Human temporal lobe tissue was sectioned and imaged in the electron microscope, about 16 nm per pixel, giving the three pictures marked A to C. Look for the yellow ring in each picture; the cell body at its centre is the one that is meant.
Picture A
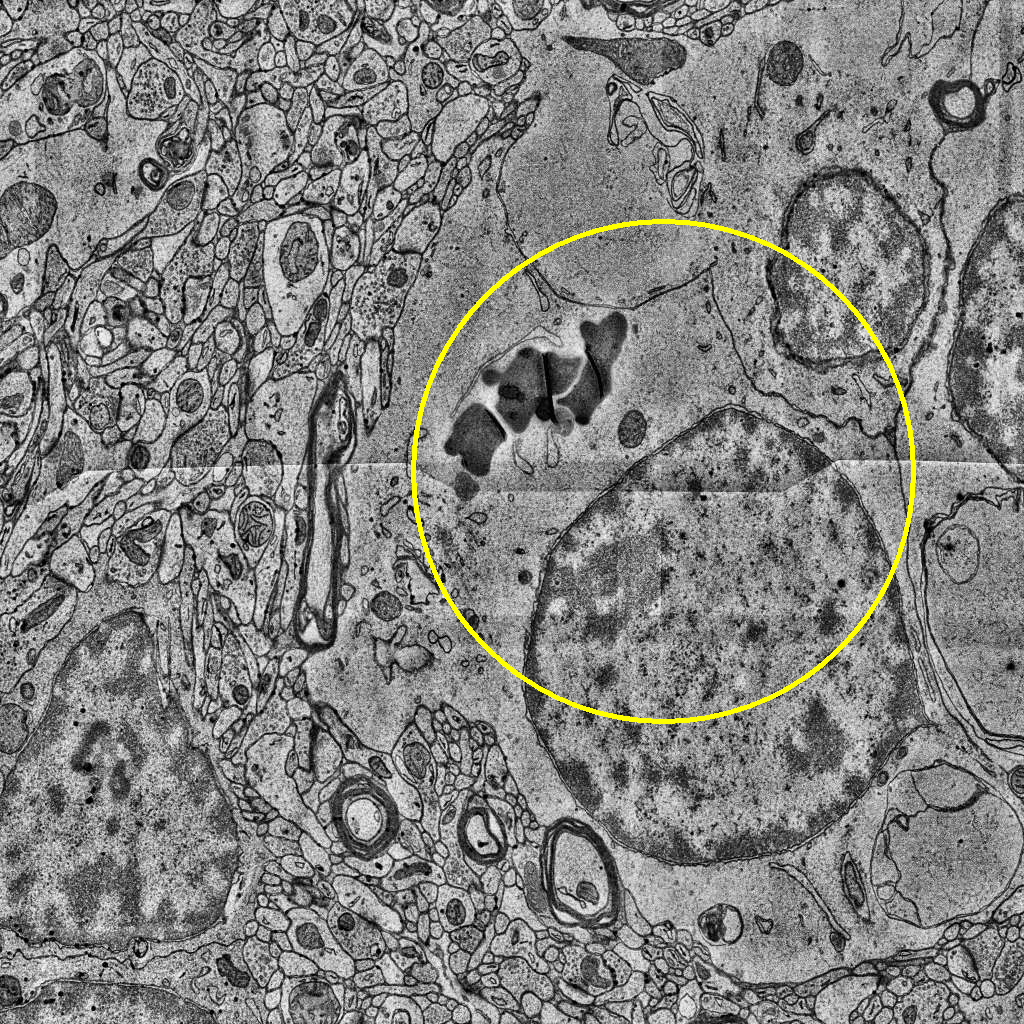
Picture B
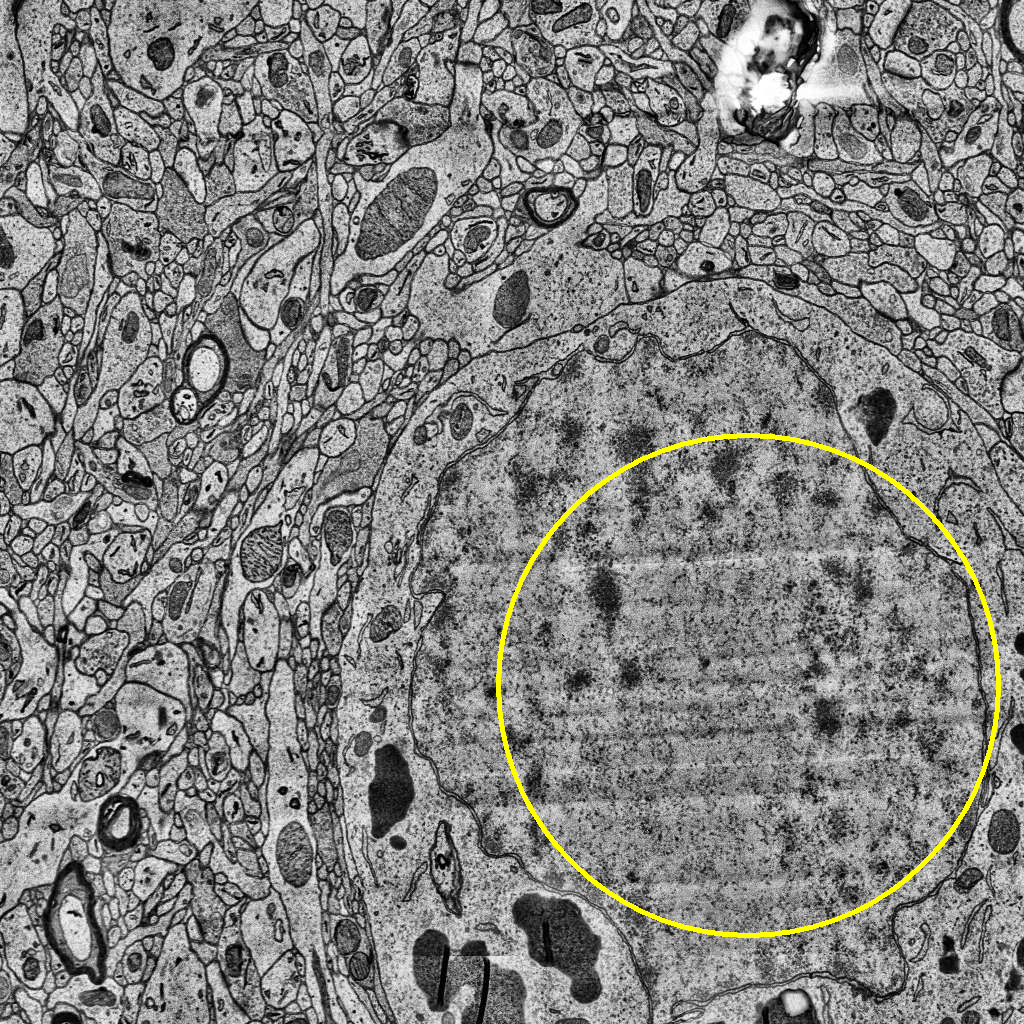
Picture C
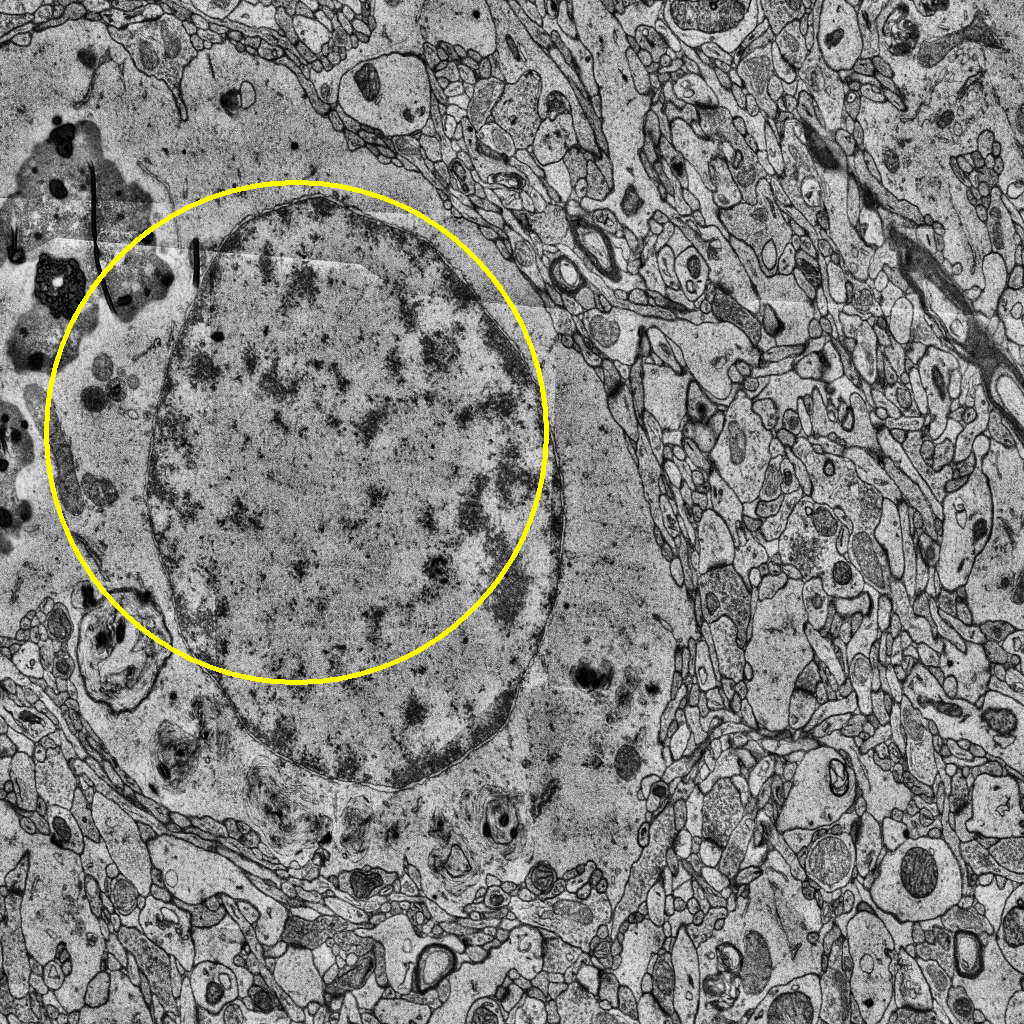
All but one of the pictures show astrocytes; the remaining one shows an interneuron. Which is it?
The cell in picture B is the interneuron.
